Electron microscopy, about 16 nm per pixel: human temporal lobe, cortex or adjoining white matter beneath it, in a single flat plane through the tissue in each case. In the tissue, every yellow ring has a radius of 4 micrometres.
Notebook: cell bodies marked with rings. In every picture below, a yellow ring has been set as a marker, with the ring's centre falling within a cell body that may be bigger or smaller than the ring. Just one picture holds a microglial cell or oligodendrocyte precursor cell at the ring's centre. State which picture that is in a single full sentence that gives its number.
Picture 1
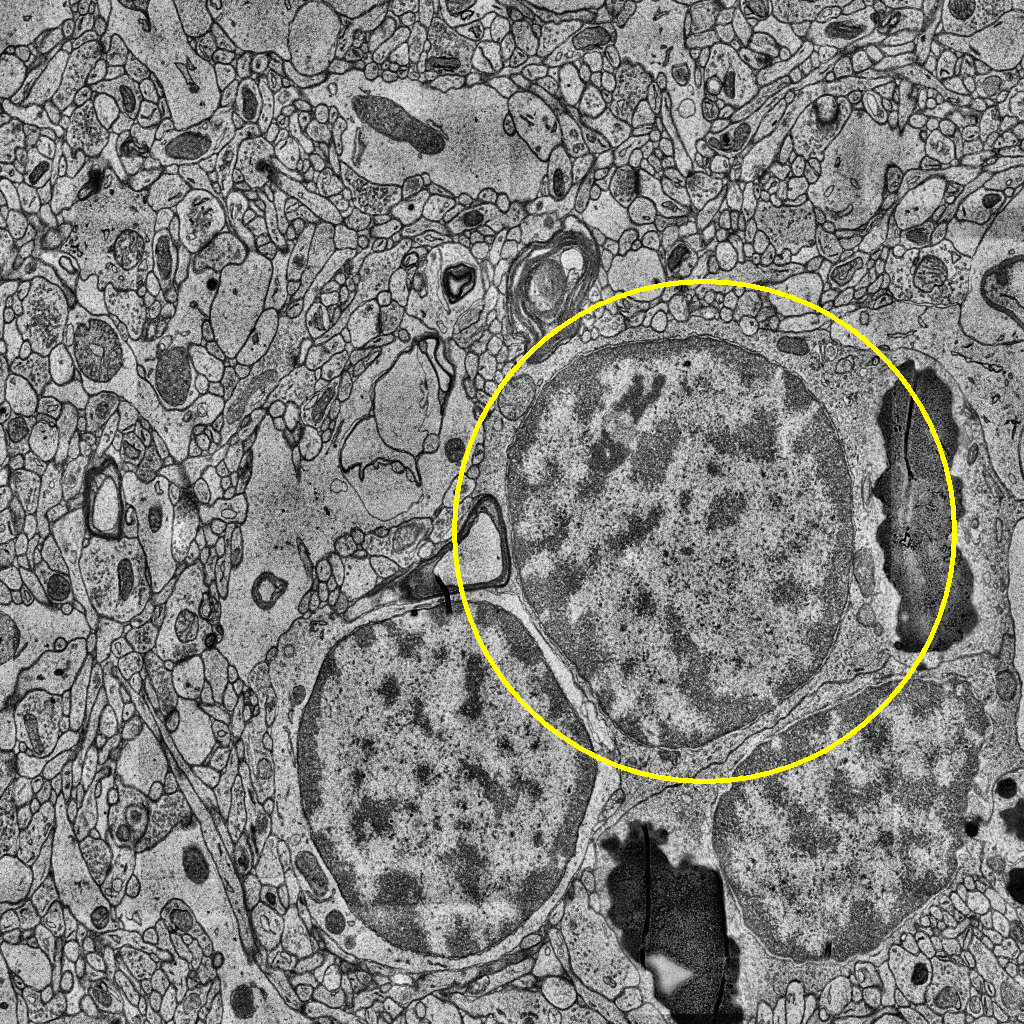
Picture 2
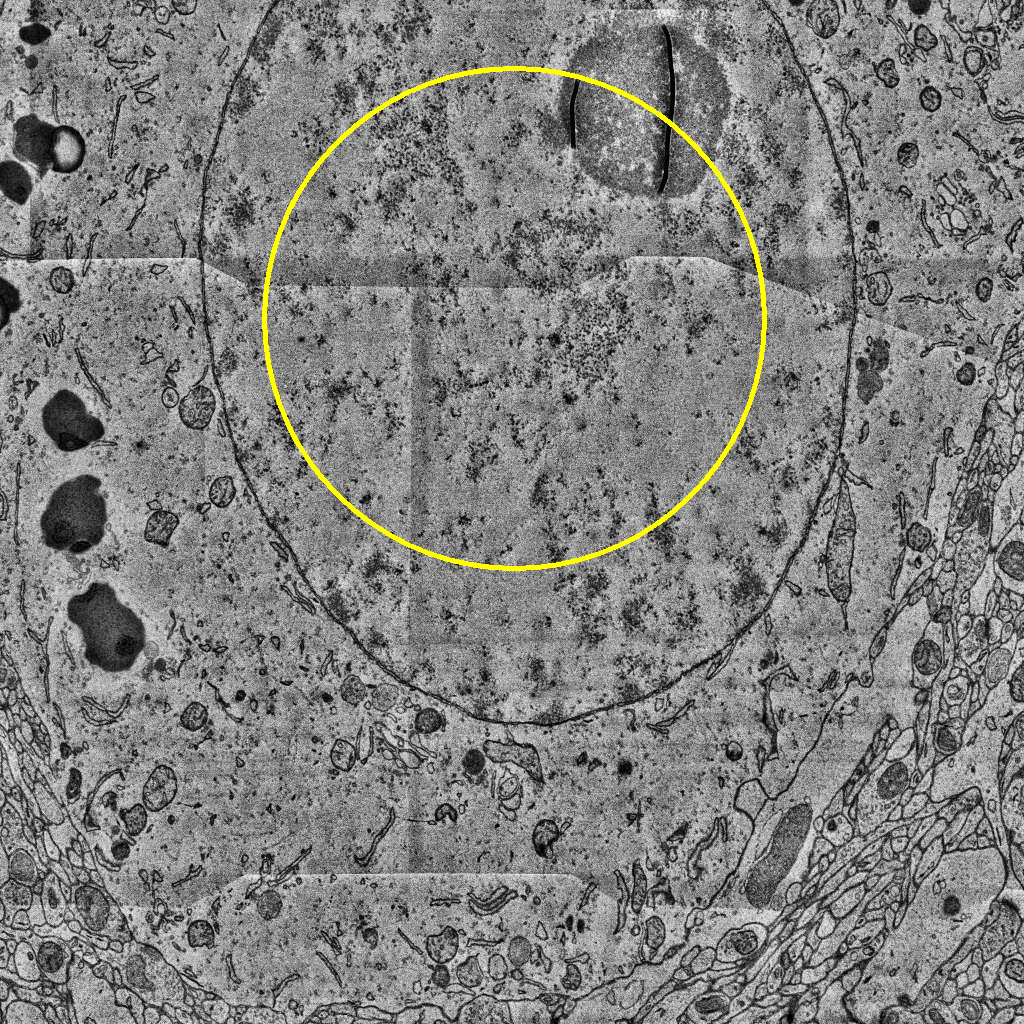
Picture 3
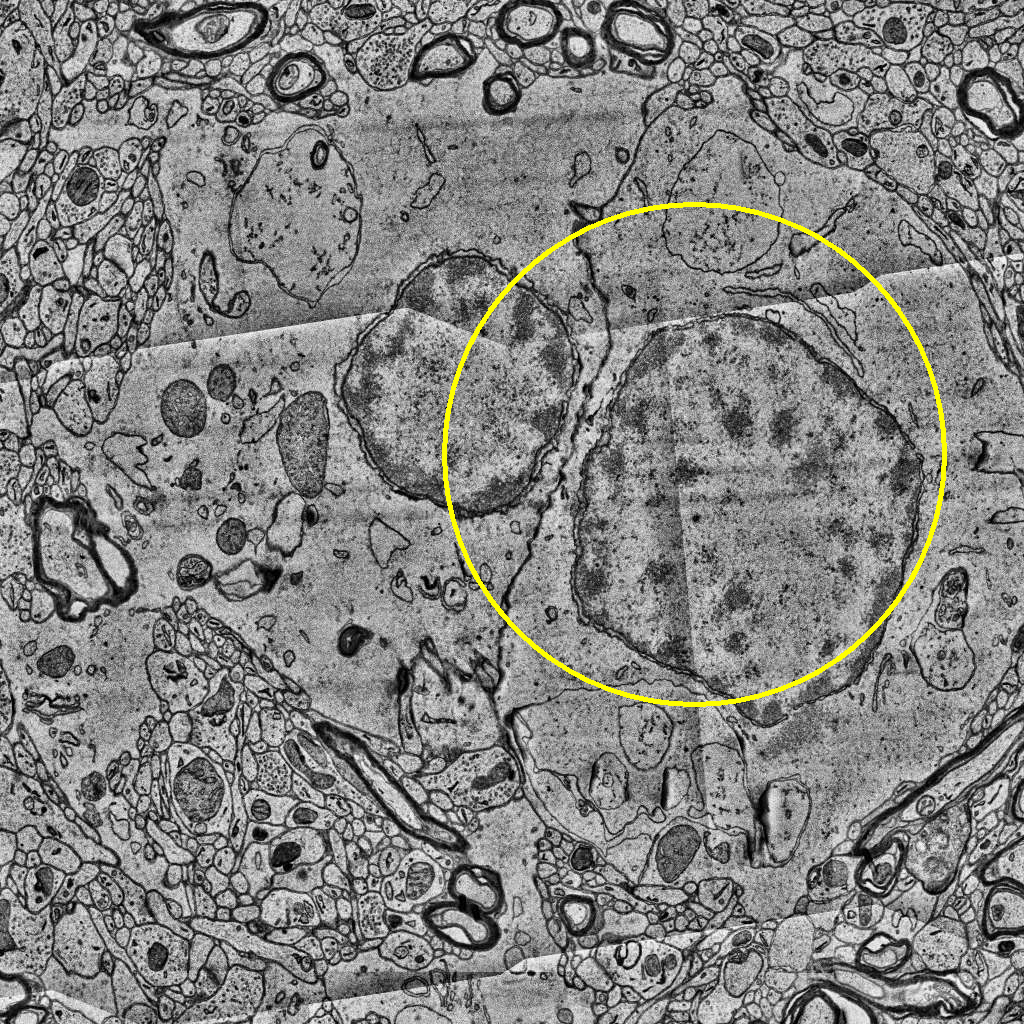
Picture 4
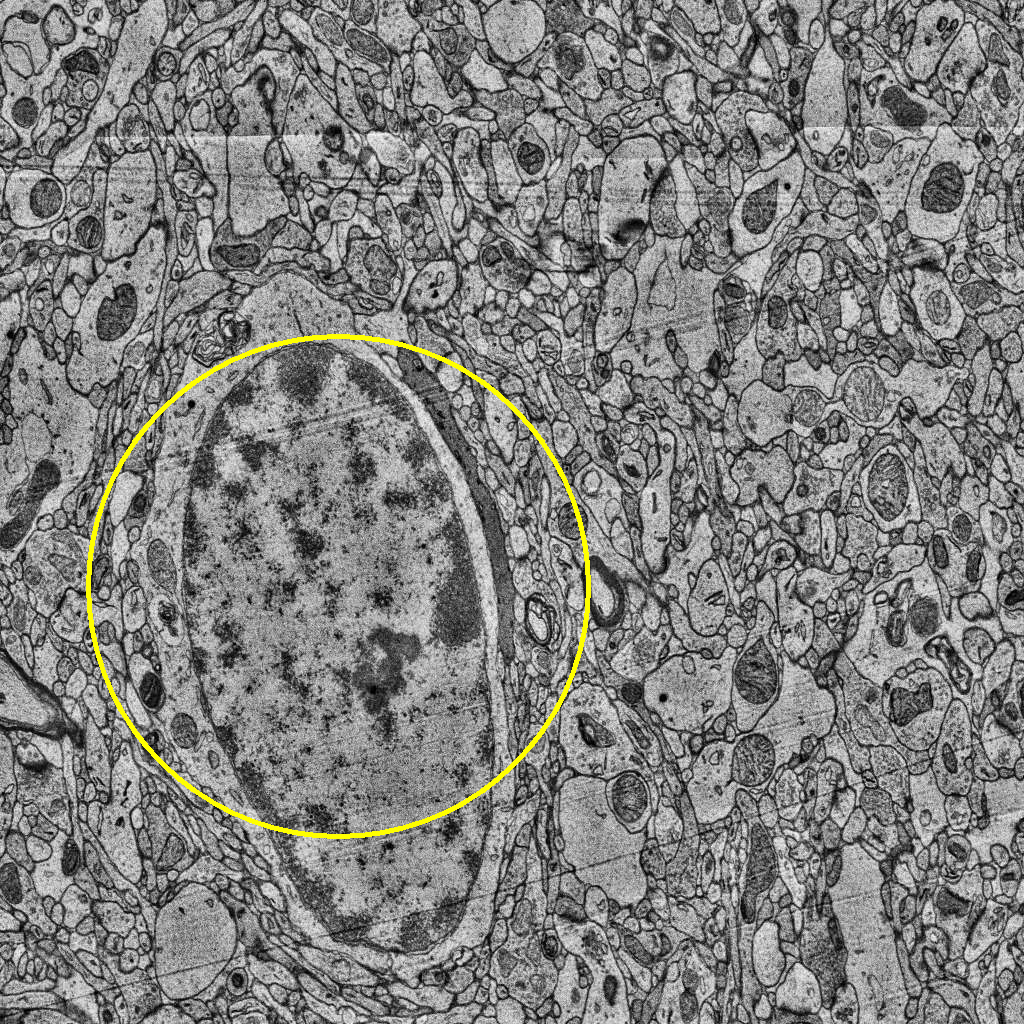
It is picture 4 whose ring has the wanted cell right at its centre.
